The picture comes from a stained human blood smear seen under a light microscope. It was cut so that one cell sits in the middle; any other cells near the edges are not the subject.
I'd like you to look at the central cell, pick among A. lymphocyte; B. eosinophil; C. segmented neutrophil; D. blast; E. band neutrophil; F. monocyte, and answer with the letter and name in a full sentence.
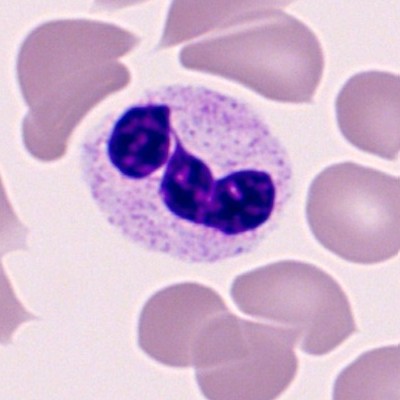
Identification: the cell in the middle is a segmented neutrophil, matching option C.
